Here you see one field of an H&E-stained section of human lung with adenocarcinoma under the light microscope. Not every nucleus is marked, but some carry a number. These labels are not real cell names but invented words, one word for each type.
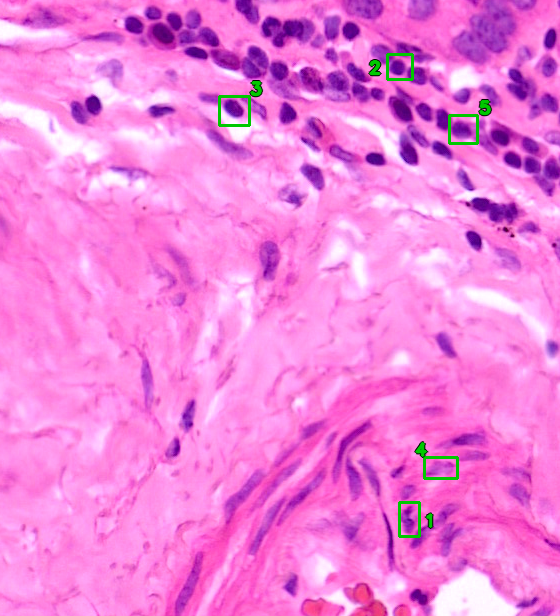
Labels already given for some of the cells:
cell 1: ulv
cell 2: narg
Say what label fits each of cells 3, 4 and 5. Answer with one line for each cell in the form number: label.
3: narg
4: ulv
5: narg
